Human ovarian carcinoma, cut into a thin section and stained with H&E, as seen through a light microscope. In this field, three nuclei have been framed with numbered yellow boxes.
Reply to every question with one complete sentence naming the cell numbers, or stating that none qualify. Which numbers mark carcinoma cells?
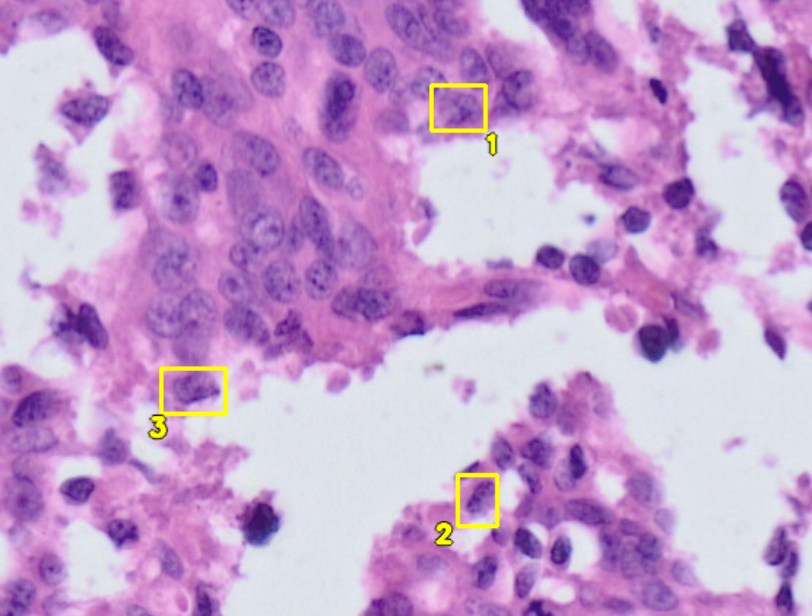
The cells the numbers 1 and 3 point to are carcinoma cells.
